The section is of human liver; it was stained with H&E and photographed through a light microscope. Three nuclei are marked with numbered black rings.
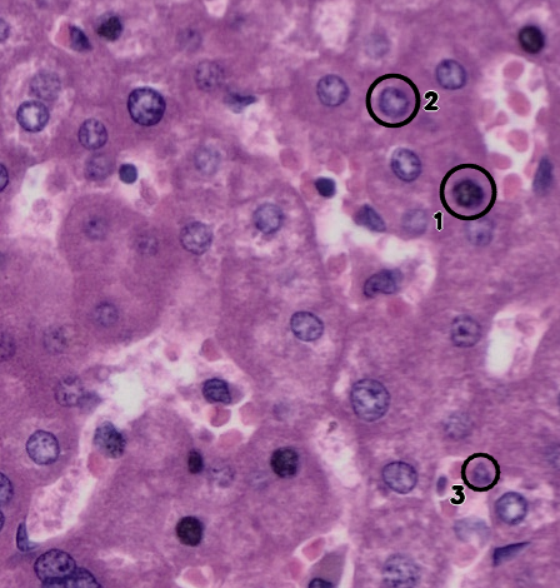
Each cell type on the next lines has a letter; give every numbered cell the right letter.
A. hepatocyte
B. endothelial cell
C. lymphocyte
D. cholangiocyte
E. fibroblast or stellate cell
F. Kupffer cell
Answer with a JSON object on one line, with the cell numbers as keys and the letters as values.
{"1": "A", "2": "A", "3": "F"}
